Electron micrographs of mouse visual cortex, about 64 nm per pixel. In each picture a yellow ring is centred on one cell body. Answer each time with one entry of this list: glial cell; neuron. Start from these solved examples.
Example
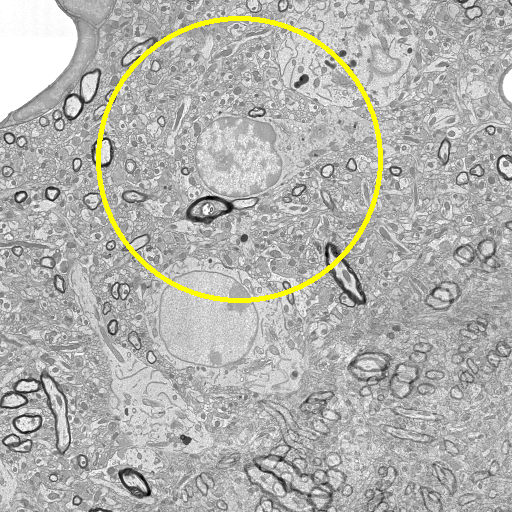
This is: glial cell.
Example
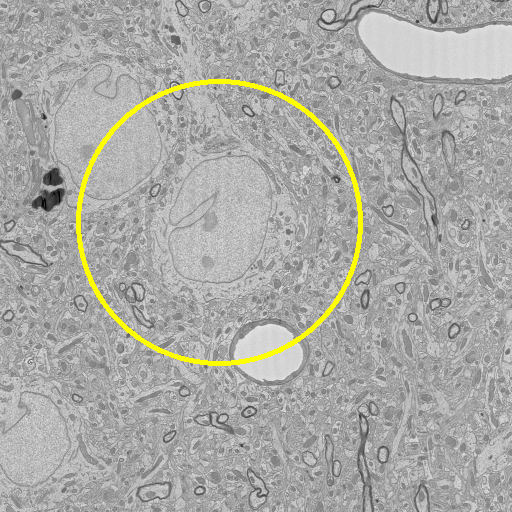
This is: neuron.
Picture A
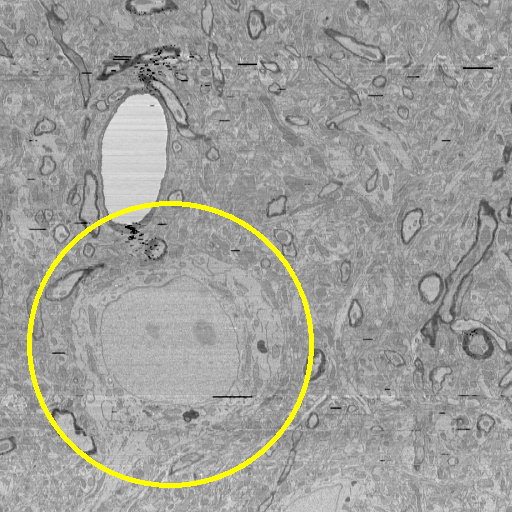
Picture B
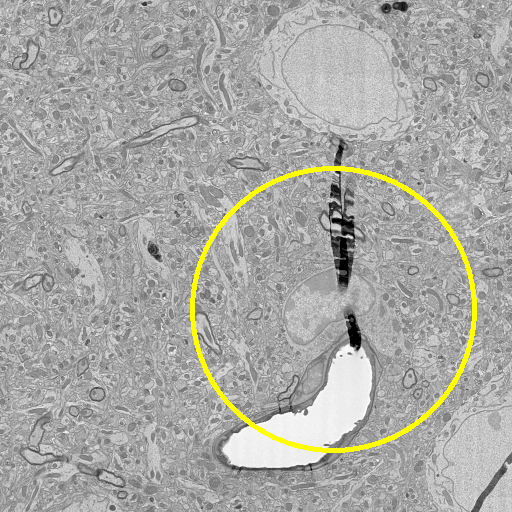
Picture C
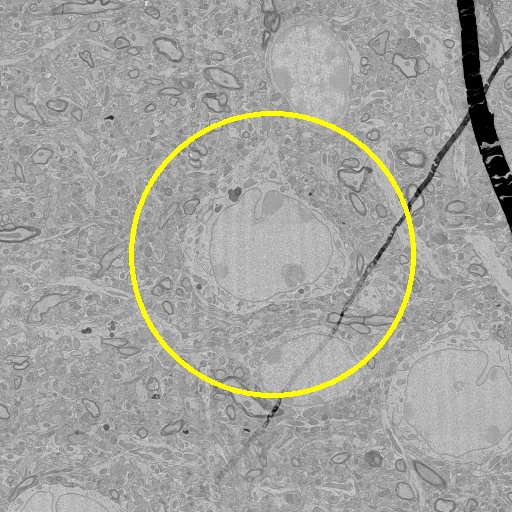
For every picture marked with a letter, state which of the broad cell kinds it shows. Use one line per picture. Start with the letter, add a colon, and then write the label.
A: neuron.
B: glial cell.
C: neuron.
